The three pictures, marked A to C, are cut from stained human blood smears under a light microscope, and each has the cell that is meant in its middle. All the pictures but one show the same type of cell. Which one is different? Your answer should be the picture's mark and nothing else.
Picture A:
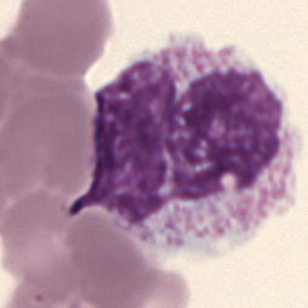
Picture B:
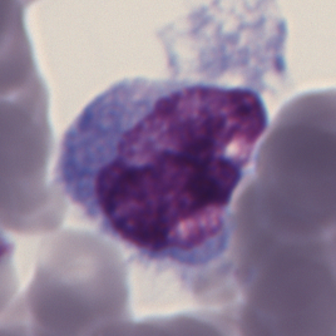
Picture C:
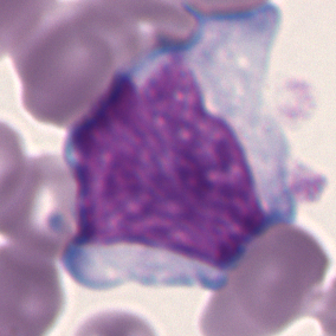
A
